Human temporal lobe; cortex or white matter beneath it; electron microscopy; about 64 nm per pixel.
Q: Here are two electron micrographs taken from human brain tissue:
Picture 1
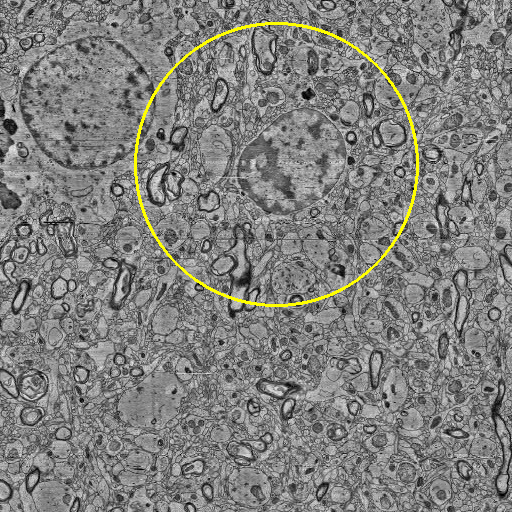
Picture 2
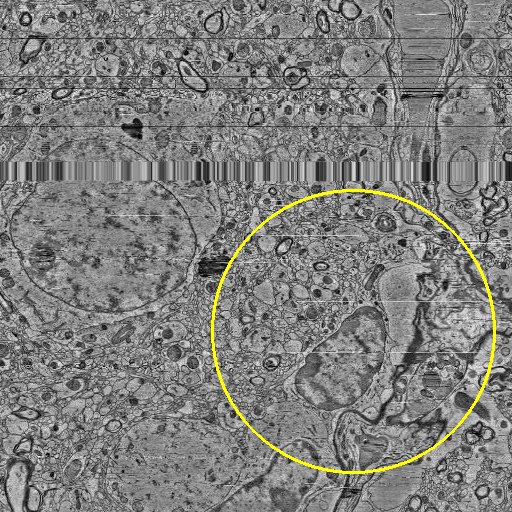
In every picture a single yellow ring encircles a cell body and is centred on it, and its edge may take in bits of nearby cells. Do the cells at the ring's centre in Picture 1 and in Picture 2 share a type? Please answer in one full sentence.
Yes, the cells at the ring's centre in Picture 1 and Picture 2 share a type.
